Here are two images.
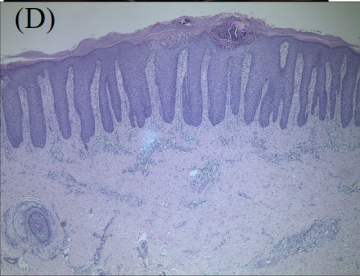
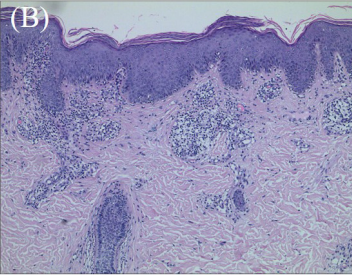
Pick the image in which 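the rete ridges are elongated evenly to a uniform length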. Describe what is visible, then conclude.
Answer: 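The first image. First image: long, slender rete ridges of nearly equal length run in a regular row. Second image: rete ridges are shorter and of uneven length and shape.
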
